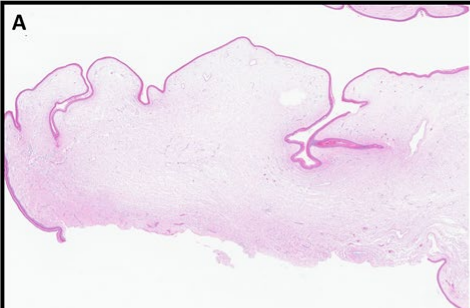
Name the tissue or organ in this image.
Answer: Skin with no appendages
